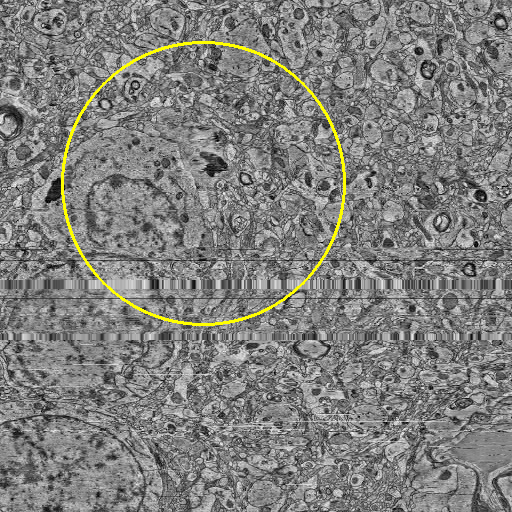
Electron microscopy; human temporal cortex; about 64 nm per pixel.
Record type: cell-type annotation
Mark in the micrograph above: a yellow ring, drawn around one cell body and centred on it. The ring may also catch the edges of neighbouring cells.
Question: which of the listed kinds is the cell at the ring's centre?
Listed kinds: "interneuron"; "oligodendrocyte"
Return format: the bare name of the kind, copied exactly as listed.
oligodendrocyte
